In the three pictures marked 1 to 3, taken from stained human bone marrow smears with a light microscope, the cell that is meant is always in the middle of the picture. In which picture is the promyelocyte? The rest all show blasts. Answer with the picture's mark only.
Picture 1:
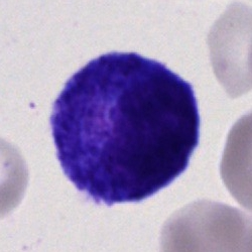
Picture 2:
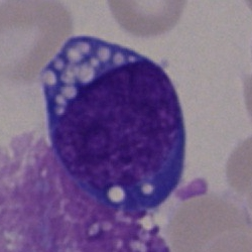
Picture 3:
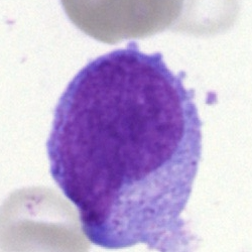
1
